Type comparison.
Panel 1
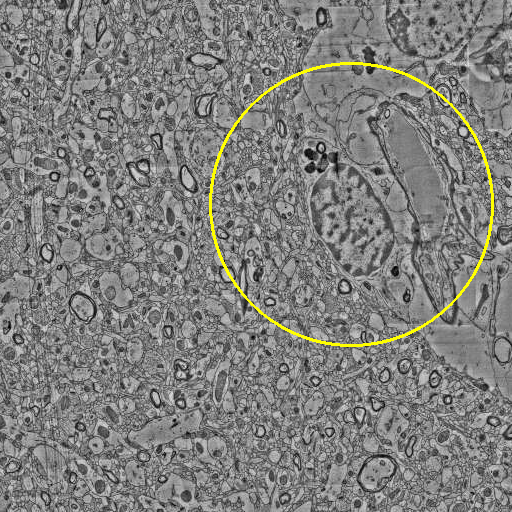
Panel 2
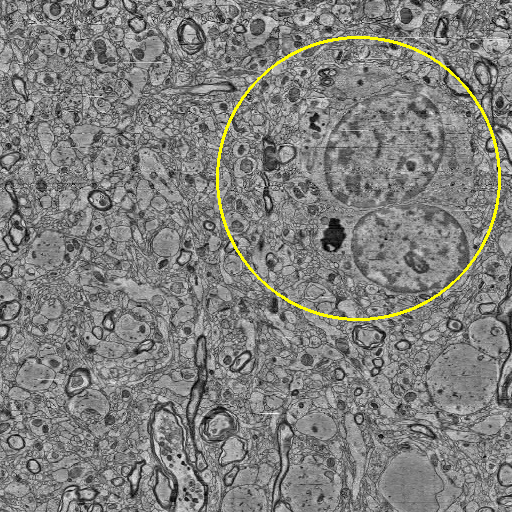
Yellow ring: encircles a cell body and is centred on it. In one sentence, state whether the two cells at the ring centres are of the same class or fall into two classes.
In these panels, the two cells at the ring centres fall into two classes.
